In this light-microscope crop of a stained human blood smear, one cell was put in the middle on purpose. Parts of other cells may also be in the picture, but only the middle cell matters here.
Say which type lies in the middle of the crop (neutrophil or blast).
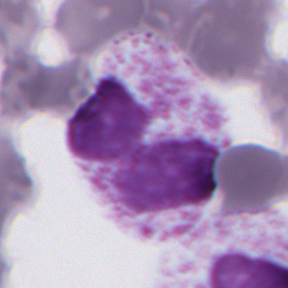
neutrophil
